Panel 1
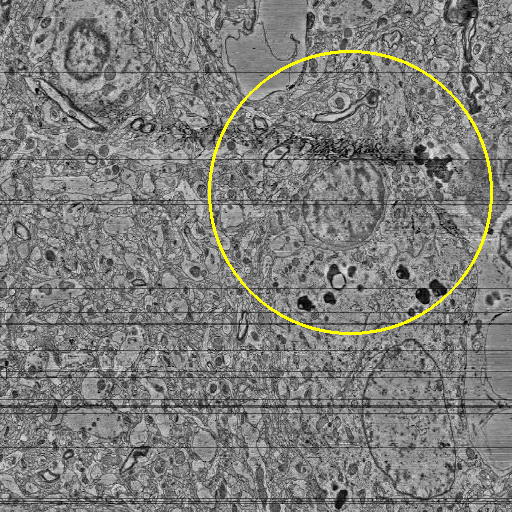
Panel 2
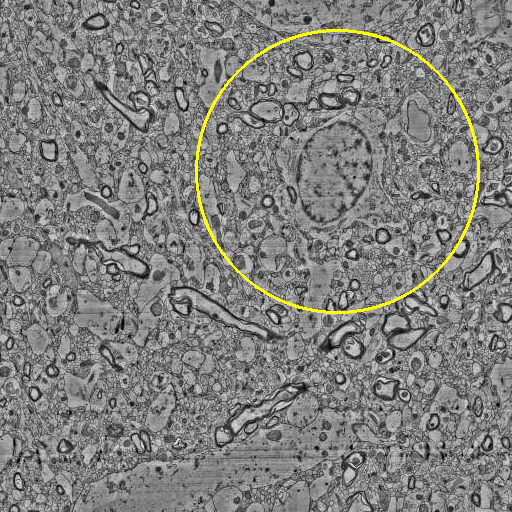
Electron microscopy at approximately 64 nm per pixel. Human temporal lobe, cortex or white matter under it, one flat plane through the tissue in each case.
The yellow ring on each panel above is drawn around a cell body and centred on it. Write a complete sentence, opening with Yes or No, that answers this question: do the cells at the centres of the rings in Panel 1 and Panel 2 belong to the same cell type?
No, the two cells belong to two cell types.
